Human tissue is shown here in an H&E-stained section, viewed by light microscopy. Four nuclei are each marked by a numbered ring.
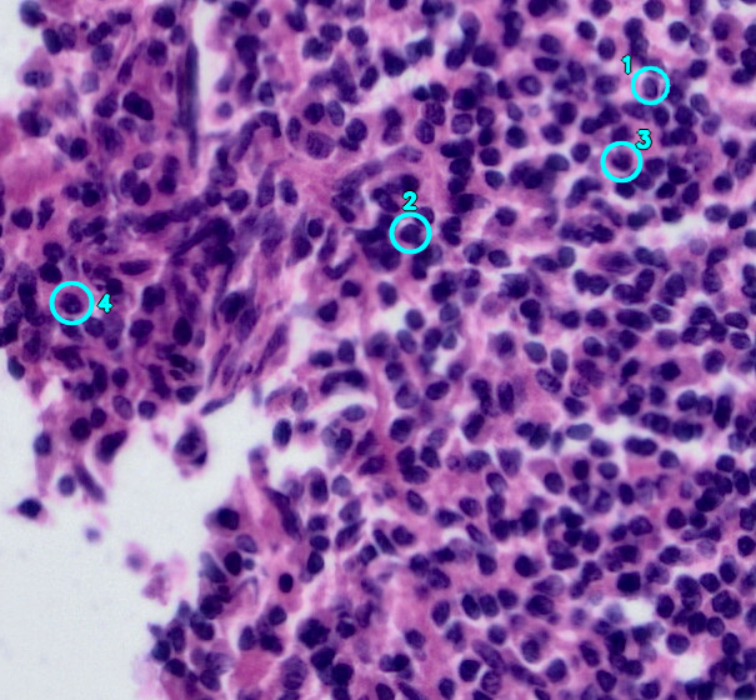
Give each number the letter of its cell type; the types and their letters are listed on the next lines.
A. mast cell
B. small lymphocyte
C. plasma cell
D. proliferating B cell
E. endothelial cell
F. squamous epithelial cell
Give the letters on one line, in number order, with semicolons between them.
B; B; B; C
